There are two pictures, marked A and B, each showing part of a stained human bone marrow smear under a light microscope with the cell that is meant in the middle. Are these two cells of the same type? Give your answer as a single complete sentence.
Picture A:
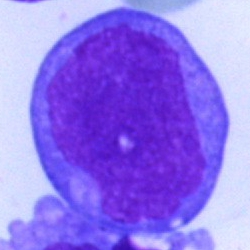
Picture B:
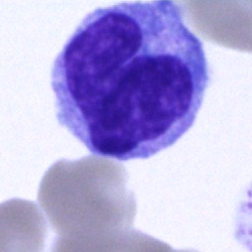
No. Picture A shows a blast, but picture B shows a monocyte.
